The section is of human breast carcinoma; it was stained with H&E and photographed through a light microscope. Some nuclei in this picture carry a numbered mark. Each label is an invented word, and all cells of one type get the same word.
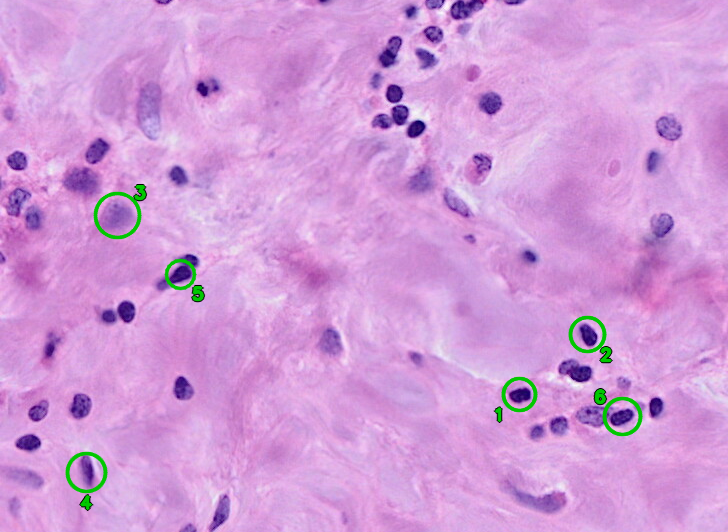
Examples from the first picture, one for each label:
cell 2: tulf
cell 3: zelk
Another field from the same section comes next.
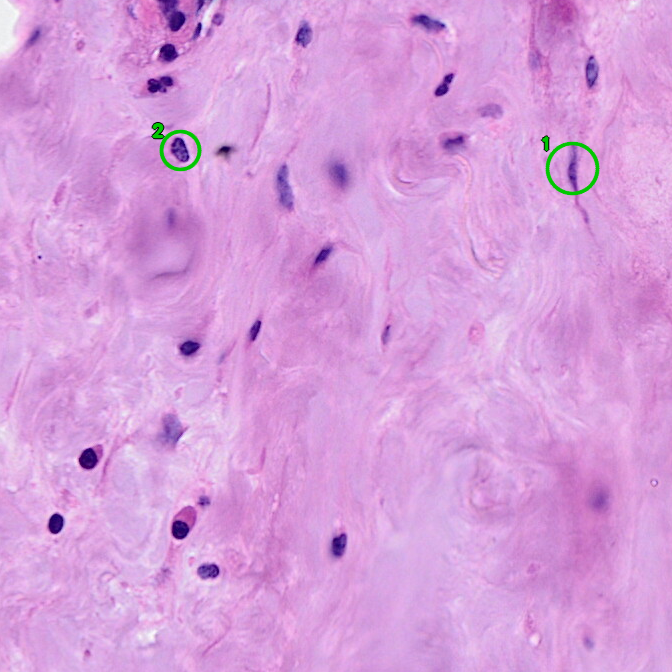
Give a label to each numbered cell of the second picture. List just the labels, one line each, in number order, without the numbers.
zelk
tulf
